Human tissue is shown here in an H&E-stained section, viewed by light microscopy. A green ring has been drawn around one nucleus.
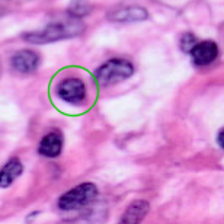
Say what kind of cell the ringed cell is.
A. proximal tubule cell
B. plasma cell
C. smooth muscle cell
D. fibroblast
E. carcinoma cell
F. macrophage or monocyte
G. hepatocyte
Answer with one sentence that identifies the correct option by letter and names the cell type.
Of all the options, B is right, since the ringed cell is a plasma cell.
